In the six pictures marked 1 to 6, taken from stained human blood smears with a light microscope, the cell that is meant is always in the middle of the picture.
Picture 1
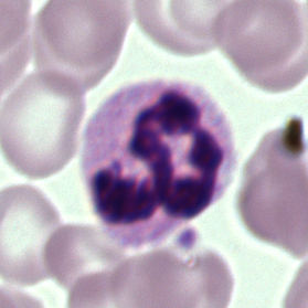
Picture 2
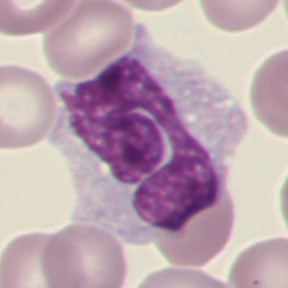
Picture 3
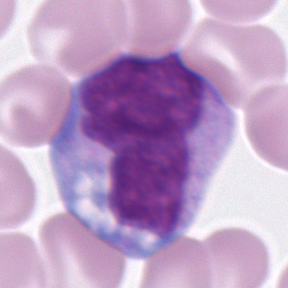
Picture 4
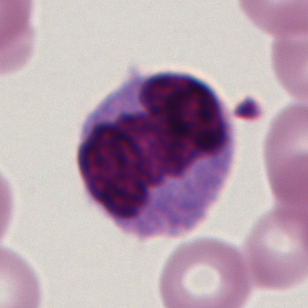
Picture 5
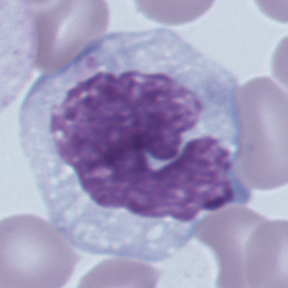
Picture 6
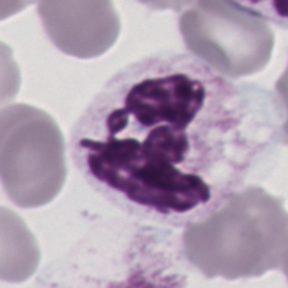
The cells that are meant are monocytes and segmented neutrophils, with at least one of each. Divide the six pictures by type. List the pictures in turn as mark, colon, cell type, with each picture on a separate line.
1: segmented neutrophil
2: monocyte
3: monocyte
4: monocyte
5: monocyte
6: segmented neutrophil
